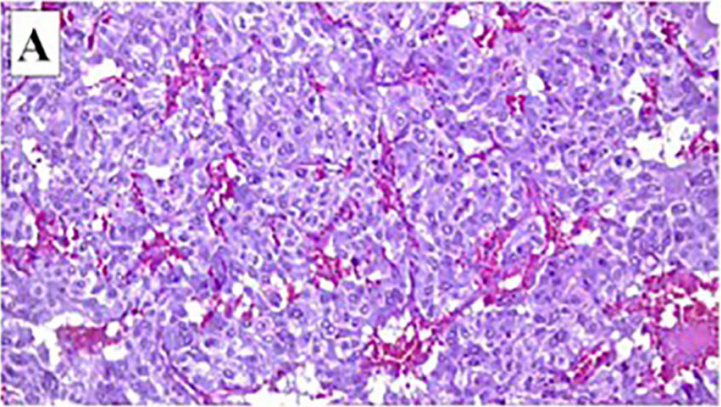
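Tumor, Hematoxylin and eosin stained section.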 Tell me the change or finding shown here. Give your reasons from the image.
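Nuclei vary in size and shape from cell to cell. Many nuclei appear pale with open chromatin. Small dark nucleoli are visible in some nuclei.
Hence: pleomorphic and vesicular nuclei.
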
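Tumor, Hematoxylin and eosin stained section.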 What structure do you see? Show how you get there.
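Thin pink-red strands containing red blood cells run between groups of cells. The strands divide the purple-staining cells into nests or lobules.
Hence: thin fibrovascular septa.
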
